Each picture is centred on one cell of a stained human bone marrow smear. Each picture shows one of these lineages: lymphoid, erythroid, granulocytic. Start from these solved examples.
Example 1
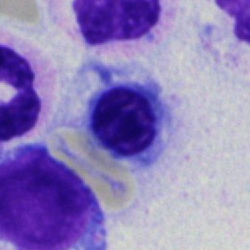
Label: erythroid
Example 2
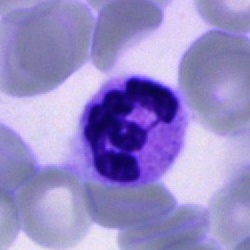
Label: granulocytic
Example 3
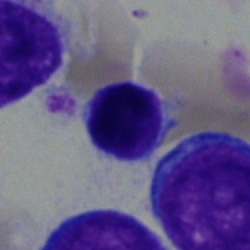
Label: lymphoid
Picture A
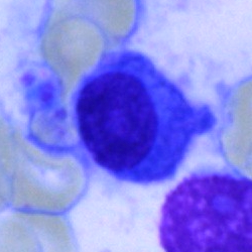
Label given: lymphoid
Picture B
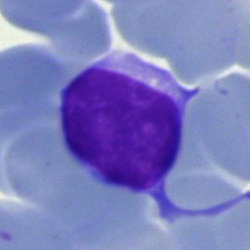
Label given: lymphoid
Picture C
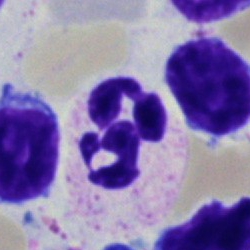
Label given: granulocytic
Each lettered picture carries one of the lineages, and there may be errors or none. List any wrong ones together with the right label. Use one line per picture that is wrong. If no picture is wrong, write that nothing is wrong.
None of the labels needs changing.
